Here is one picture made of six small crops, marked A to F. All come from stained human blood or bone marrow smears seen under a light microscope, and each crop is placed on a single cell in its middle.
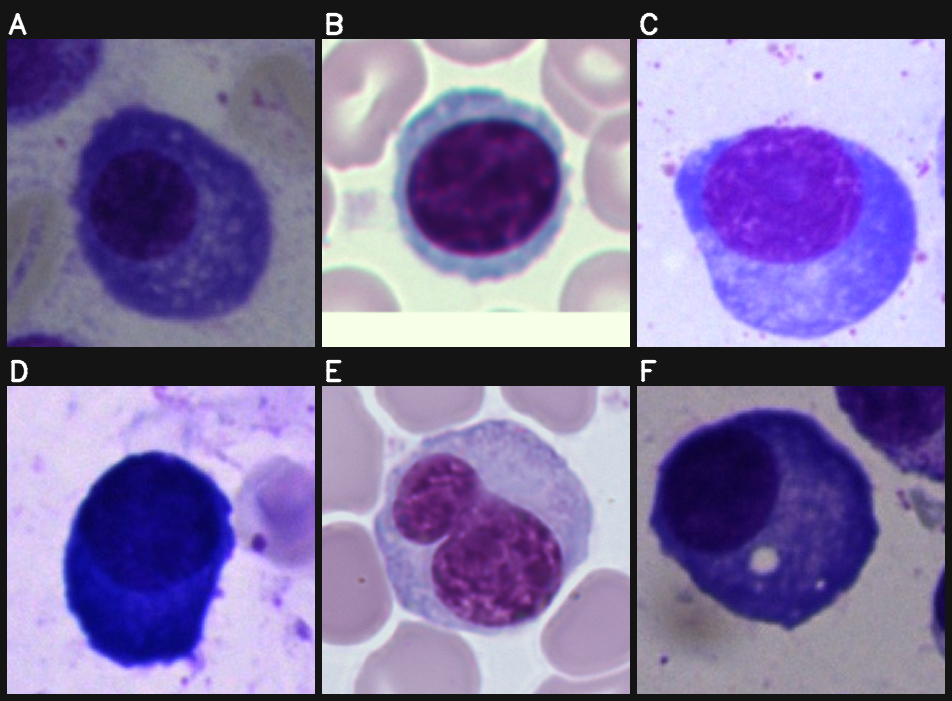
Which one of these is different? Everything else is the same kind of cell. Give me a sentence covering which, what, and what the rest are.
The different crop is B; it is a lymphocyte, and the others all show plasma cells.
